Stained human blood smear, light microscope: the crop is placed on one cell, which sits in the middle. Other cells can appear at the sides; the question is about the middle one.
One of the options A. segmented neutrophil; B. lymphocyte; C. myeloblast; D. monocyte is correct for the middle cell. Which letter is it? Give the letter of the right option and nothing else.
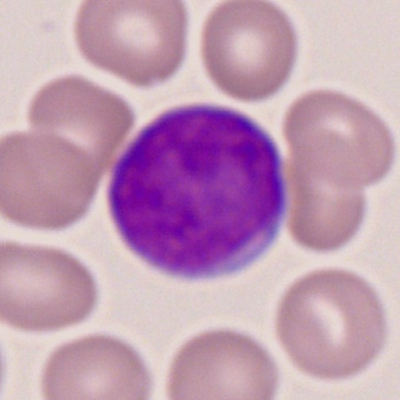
C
